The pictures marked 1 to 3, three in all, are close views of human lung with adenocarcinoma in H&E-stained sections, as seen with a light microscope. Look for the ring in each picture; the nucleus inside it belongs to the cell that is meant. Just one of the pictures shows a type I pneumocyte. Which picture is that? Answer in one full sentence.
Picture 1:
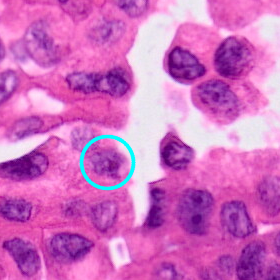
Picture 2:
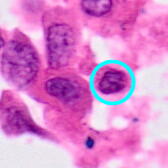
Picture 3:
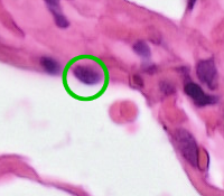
It is picture 3 that shows the type I pneumocyte.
